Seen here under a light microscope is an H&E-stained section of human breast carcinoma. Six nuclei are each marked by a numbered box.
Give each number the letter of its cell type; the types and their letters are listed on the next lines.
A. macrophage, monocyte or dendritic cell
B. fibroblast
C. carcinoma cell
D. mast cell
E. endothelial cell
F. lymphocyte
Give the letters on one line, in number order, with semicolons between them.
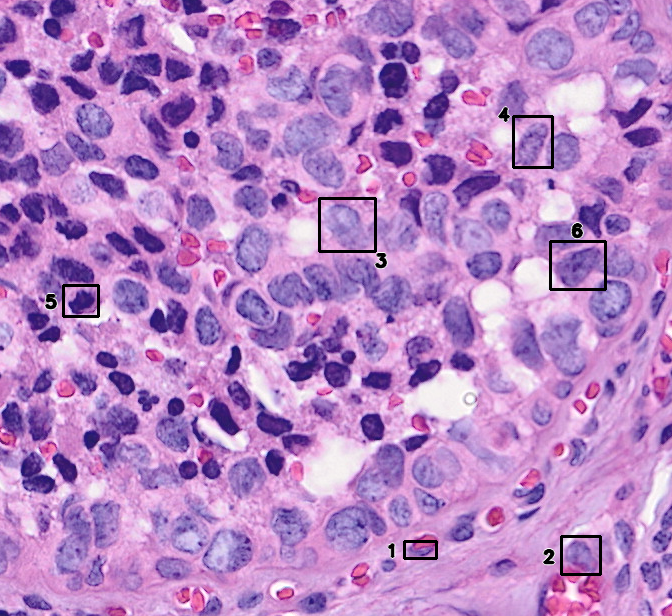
E; E; C; C; C; C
